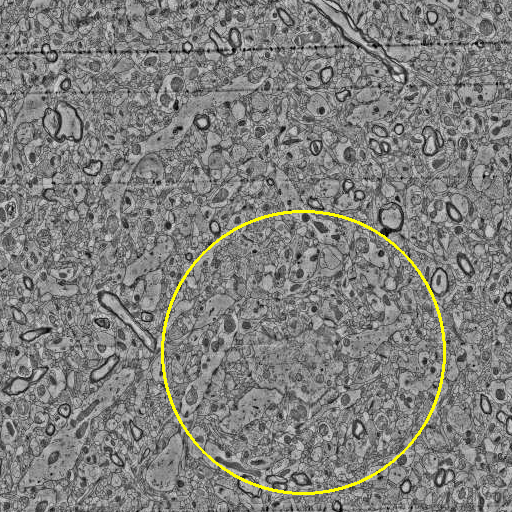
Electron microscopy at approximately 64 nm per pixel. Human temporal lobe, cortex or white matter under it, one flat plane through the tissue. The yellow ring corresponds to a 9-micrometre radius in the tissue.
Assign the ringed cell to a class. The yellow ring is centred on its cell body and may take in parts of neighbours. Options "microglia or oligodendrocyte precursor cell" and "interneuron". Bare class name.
interneuron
